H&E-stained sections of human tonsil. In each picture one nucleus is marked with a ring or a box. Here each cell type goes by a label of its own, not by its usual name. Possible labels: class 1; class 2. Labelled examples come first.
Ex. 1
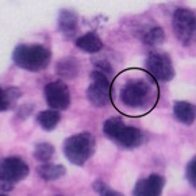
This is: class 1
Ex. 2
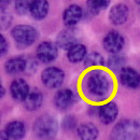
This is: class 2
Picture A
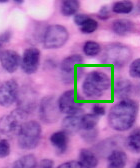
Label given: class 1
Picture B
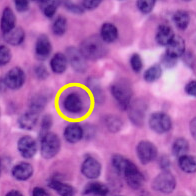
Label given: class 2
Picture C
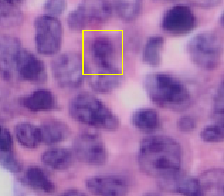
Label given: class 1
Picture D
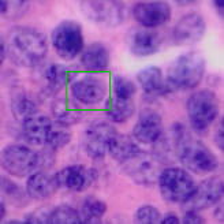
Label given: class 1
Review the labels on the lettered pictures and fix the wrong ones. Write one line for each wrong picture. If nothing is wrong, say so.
No label is wrong.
